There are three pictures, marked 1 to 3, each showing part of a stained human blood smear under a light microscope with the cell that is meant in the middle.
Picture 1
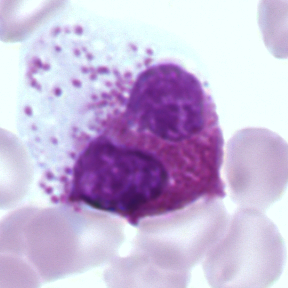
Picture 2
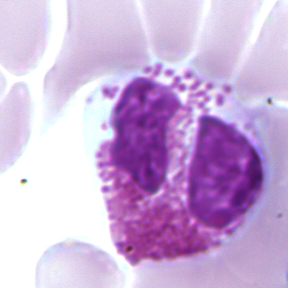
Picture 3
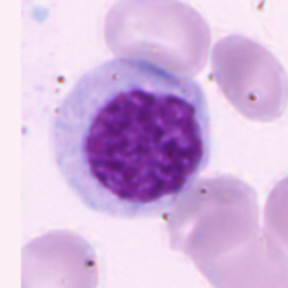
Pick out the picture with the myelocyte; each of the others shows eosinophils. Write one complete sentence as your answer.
The cell in picture 3 is the myelocyte.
